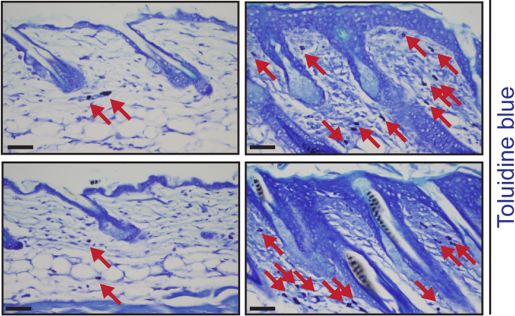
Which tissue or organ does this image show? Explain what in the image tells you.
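Skin. Angled hair follicles run down from the surface. Clear fat vacuoles lie deeper in some of the images.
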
